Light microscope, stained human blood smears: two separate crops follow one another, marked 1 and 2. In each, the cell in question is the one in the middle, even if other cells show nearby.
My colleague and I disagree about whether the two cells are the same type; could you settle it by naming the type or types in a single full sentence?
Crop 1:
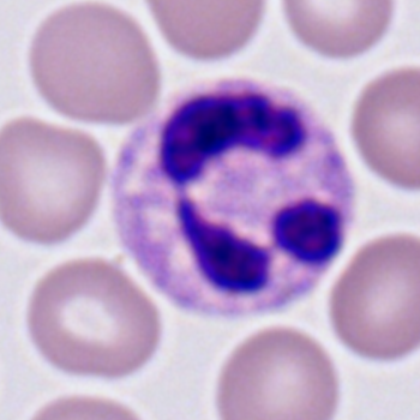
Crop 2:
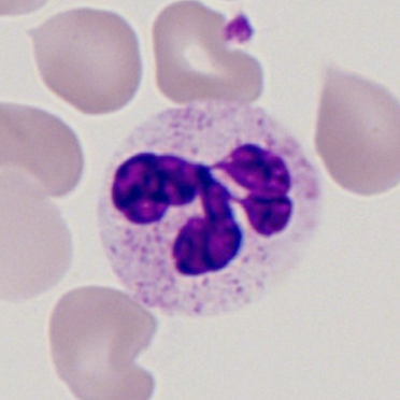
Yes, the centre cells of both crops are neutrophils.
